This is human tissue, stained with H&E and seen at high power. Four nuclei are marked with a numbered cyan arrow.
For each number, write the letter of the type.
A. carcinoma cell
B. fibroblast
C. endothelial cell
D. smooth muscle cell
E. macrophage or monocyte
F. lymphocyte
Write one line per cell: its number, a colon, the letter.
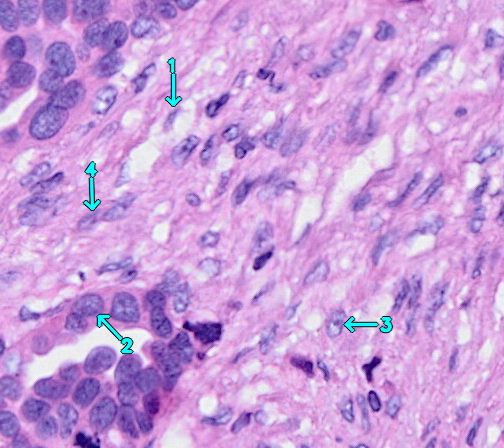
1: B
2: A
3: B
4: B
